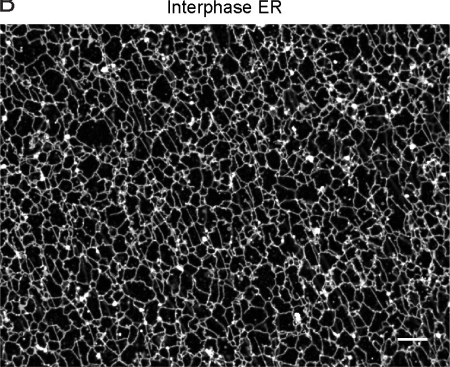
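The tubules form a dense, fairly even mesh of small closed polygons across the whole field. Most tubules meet in three-way junctions, many of them marked by small bright dots. Sheet-like areas of membrane are almost absent.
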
